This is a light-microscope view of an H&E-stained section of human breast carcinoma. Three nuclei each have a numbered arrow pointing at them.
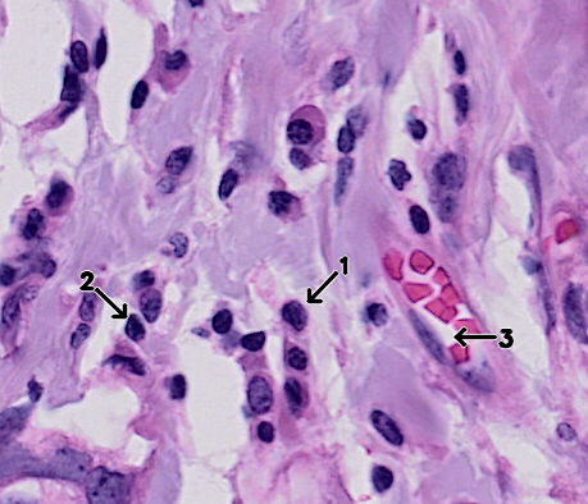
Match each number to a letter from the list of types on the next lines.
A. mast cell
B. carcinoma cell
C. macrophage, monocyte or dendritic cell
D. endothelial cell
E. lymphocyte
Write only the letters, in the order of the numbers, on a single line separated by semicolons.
E; E; D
